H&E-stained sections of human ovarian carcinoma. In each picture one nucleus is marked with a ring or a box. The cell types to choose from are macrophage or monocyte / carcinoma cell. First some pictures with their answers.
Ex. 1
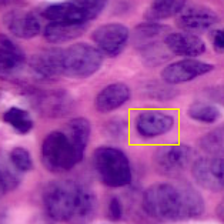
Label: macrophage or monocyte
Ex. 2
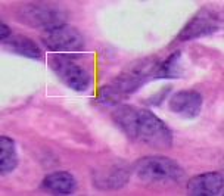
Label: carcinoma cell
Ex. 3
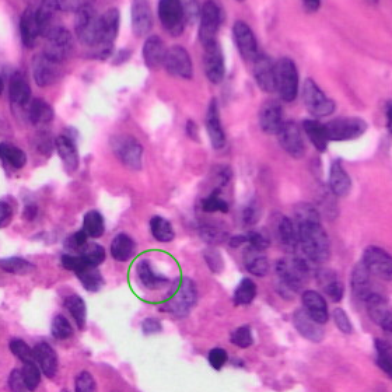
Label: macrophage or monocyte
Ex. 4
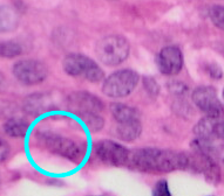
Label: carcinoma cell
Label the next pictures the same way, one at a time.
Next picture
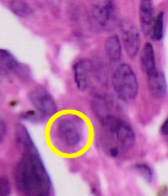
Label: carcinoma cell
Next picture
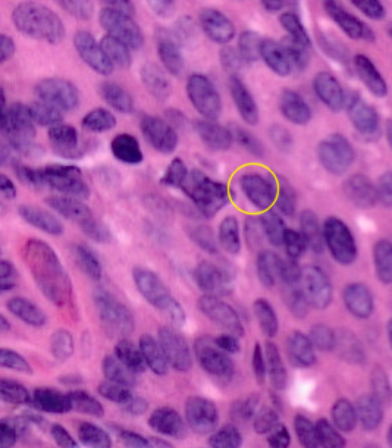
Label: carcinoma cell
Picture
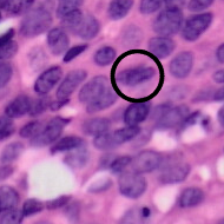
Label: carcinoma cell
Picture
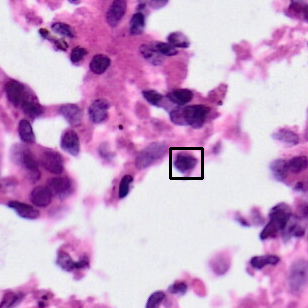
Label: macrophage or monocyte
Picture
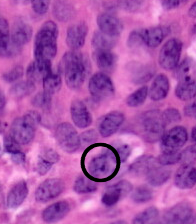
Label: macrophage or monocyte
